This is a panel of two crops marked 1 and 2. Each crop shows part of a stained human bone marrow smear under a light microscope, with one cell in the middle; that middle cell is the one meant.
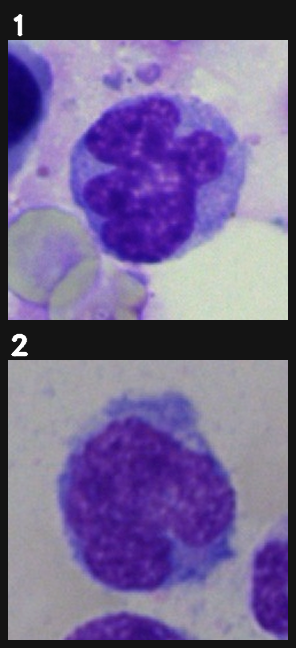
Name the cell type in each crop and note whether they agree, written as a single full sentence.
Yes, the centred cells are monocytes in both crops.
